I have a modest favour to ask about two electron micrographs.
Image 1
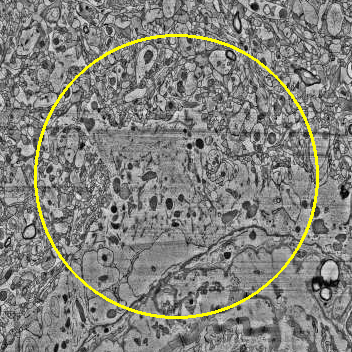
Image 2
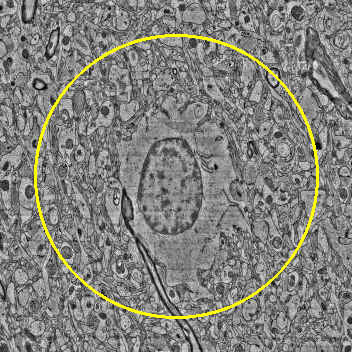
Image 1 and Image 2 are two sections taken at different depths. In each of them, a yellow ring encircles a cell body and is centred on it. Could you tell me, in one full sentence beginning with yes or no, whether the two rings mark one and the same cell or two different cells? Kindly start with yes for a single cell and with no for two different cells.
No, the two rings indicate two different cells, not one.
